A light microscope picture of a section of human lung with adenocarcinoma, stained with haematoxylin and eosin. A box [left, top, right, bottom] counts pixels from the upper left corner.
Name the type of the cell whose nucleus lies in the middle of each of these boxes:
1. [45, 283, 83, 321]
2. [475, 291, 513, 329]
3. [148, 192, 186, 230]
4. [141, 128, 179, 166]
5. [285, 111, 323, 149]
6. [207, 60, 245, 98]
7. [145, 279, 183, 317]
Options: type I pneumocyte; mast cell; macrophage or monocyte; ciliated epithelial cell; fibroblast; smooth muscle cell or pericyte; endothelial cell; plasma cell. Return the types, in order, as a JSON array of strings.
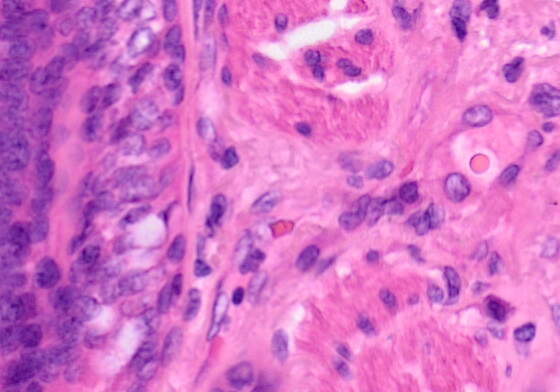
["ciliated epithelial cell", "plasma cell", "ciliated epithelial cell", "ciliated epithelial cell", "smooth muscle cell or pericyte", "smooth muscle cell or pericyte", "ciliated epithelial cell"]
